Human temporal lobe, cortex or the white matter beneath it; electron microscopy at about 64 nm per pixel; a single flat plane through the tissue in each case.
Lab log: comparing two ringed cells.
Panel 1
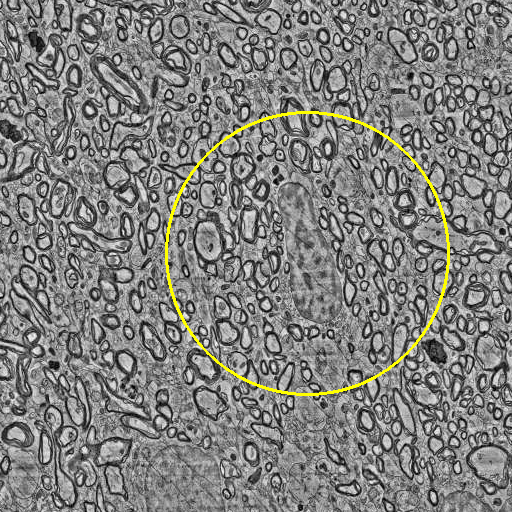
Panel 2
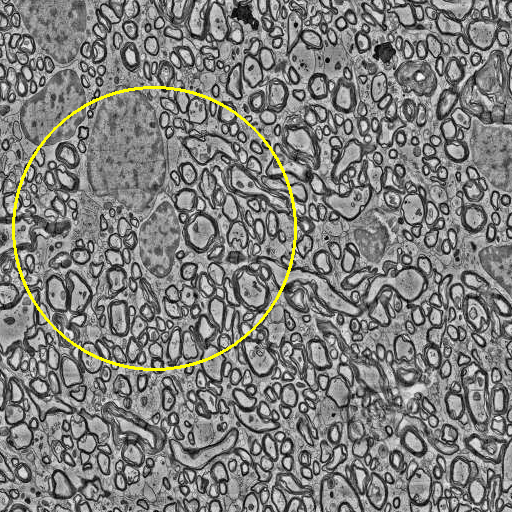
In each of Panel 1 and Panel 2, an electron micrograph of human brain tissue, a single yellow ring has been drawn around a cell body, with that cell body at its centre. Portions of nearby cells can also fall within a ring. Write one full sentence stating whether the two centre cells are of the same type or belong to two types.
The cells at the ring centres in Panel 1 and Panel 2 are of the same type.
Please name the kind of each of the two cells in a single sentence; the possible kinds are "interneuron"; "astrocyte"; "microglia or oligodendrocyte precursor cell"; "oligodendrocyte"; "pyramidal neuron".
Both the first and the second picture show a microglial cell or oligodendrocyte precursor cell in the ring.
